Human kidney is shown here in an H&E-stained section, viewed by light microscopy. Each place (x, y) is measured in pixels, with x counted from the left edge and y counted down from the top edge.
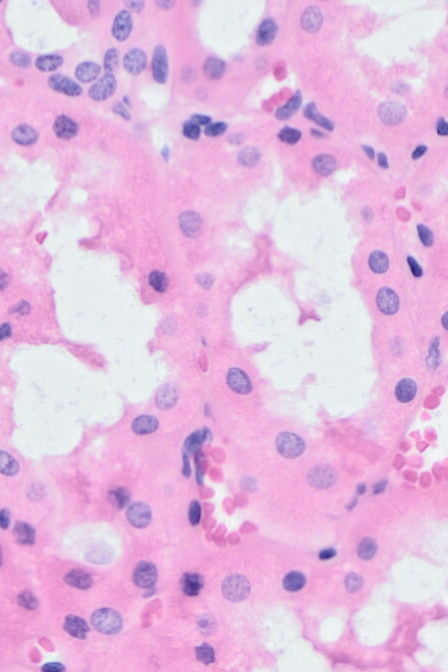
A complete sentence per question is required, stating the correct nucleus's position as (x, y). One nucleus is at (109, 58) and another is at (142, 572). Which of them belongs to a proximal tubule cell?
At (142, 572) lies the nucleus that belongs to a proximal tubule cell.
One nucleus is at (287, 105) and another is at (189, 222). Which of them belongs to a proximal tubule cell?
Of the two nuclei, the nucleus belonging to a proximal tubule cell is located at (189, 222).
